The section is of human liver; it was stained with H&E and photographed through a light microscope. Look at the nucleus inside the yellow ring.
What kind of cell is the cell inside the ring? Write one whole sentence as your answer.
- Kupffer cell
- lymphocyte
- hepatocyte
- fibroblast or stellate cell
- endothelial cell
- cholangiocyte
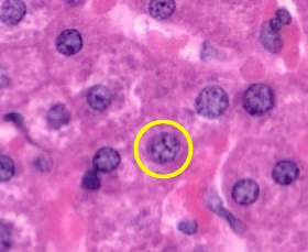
In this section, the cell inside the ring is a hepatocyte.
